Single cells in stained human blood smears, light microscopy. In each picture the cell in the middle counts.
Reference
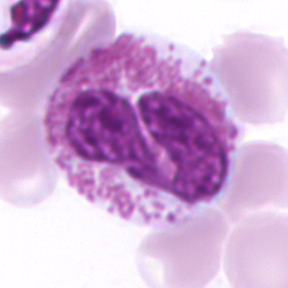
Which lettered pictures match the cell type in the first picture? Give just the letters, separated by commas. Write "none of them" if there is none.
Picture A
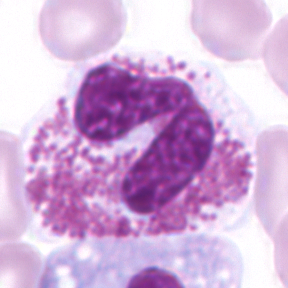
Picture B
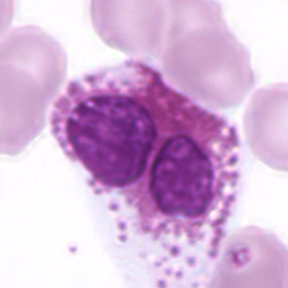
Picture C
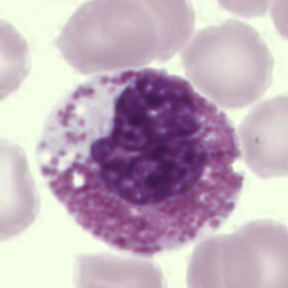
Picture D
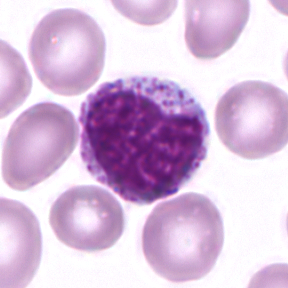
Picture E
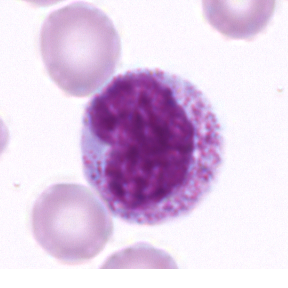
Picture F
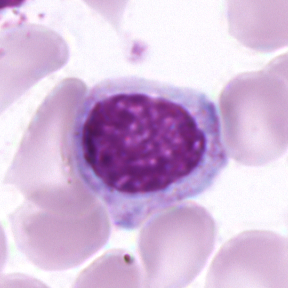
A, B, C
